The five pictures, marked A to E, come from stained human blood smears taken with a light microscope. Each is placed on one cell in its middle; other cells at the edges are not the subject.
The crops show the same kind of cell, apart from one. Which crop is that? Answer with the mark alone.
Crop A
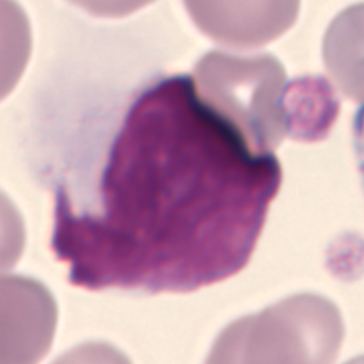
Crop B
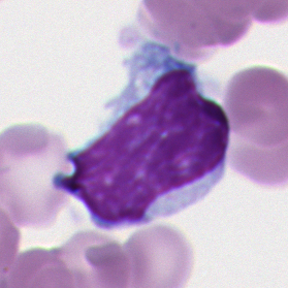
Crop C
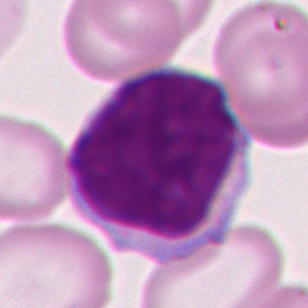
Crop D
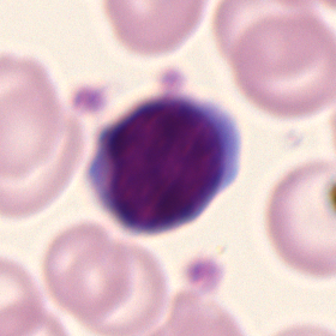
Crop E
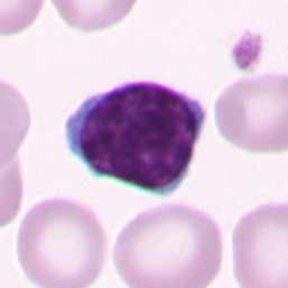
A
